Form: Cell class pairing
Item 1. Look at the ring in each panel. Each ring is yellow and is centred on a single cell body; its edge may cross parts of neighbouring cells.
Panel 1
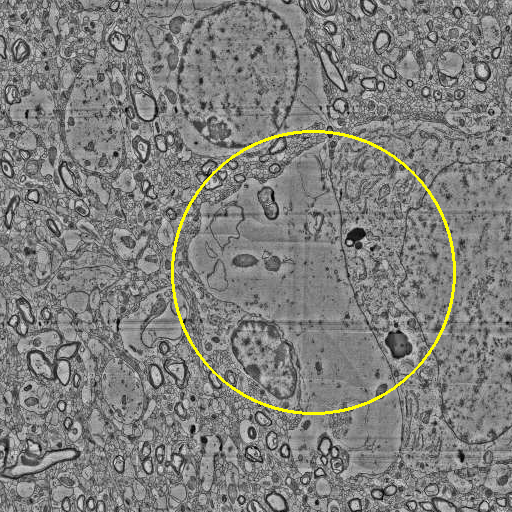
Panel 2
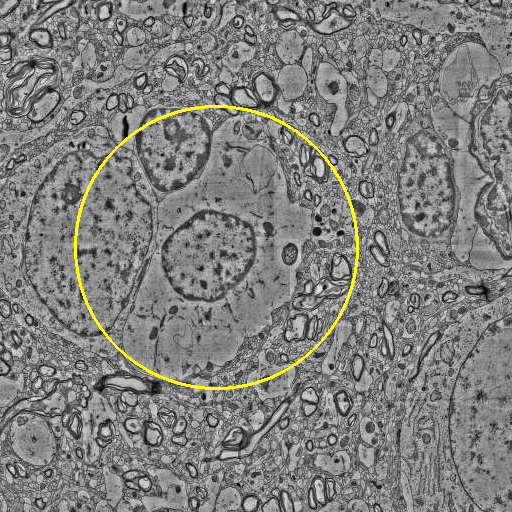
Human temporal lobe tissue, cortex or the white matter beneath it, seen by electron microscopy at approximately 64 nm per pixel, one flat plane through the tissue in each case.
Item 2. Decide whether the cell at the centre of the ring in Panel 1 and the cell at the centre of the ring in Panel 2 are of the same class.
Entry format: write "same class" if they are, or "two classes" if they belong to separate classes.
same class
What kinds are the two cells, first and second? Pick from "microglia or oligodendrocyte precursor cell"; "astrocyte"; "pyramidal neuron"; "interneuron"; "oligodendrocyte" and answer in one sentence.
Both rings mark an astrocyte, one in each picture.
